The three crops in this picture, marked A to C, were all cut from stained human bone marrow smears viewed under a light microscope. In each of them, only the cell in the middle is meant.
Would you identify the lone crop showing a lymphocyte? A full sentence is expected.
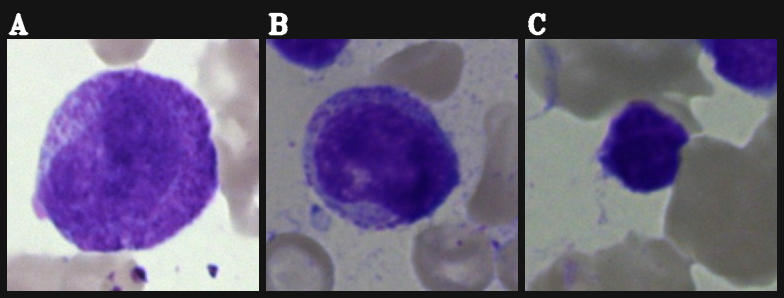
Crop C is identified as the crop showing a lymphocyte.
